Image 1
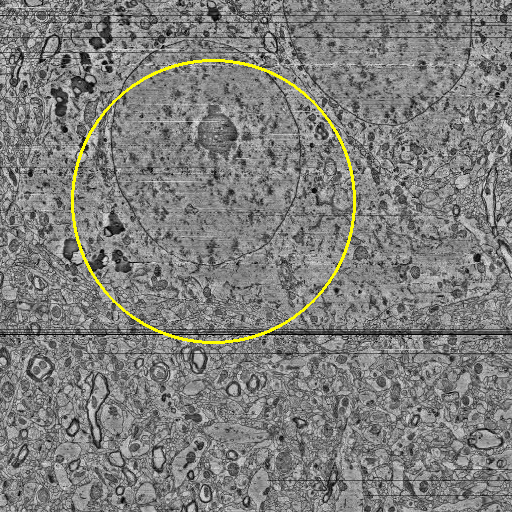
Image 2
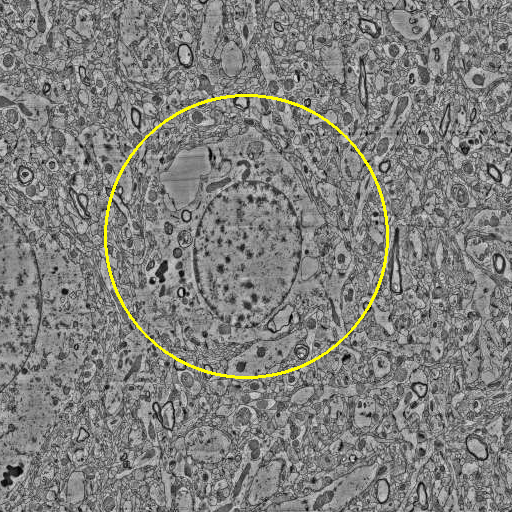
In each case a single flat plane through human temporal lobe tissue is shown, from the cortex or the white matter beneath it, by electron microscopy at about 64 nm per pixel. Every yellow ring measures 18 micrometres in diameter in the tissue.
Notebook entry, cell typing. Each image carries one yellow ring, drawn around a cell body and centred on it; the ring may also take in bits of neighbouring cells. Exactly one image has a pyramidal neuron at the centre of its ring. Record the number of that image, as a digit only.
1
